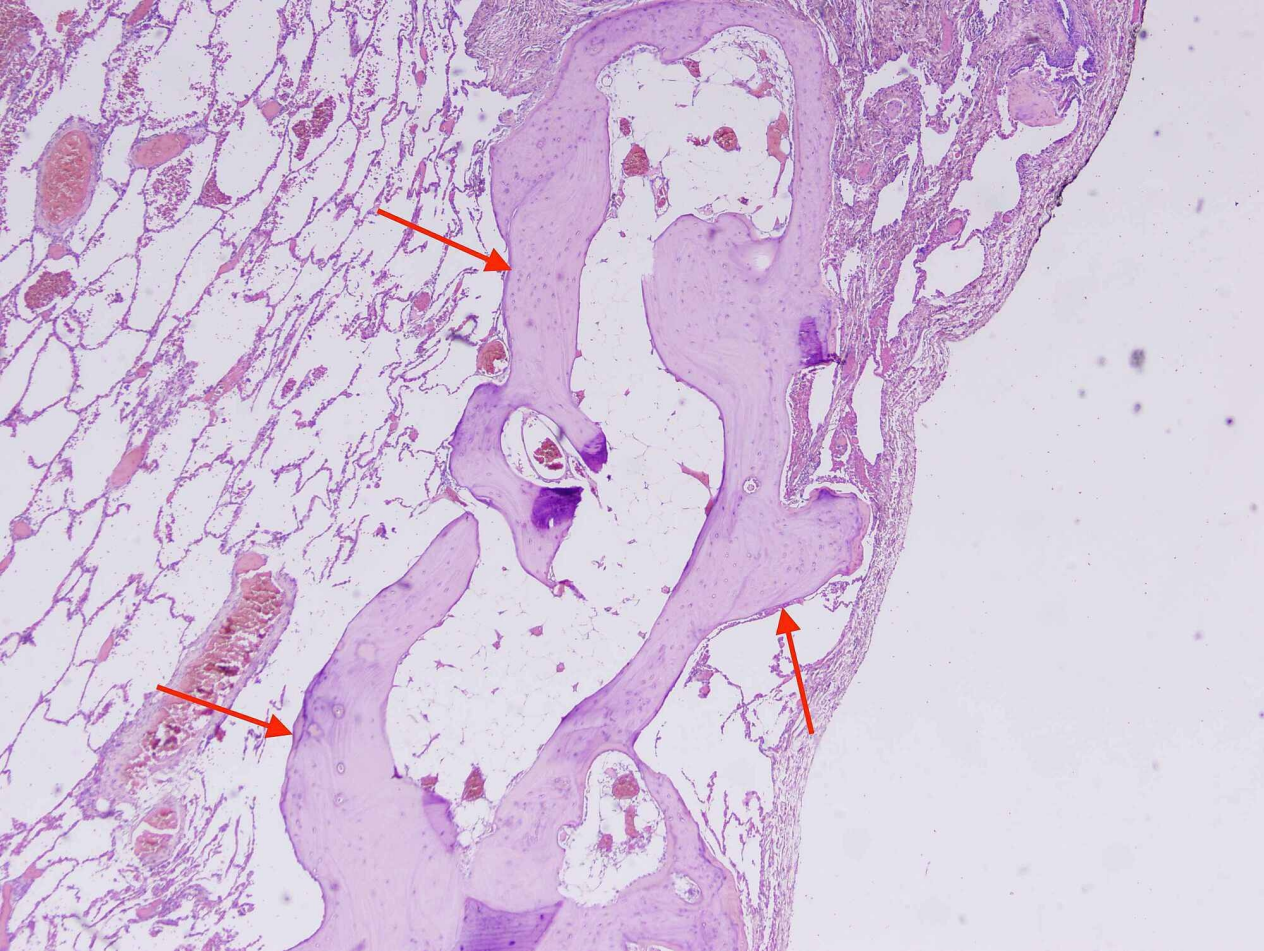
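This is lung parenchyma with mature bone lying in the interstitium. At the left are thin-walled alveolar spaces with delicate pink septa and blood-filled vessels. In the centre, broad, smooth, dense pink trabeculae of bone branch and curve through the tissue. Small cells sit in scattered lacunae within the matrix. The trabeculae enclose spaces filled with clear vacuoles resembling fat, along with small vessels containing red cells. A few darker purple, basophilic patches lie at the edges of the bone. To the right, a denser fibrous, vascular band runs along the pleural edge of the section.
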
